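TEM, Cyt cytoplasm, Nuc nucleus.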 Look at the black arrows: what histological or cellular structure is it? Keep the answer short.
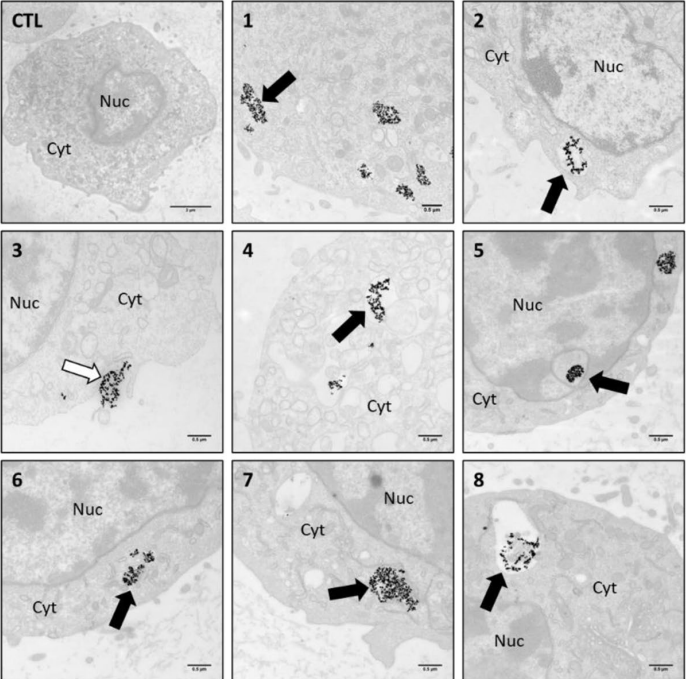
Nanoparticles cluster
